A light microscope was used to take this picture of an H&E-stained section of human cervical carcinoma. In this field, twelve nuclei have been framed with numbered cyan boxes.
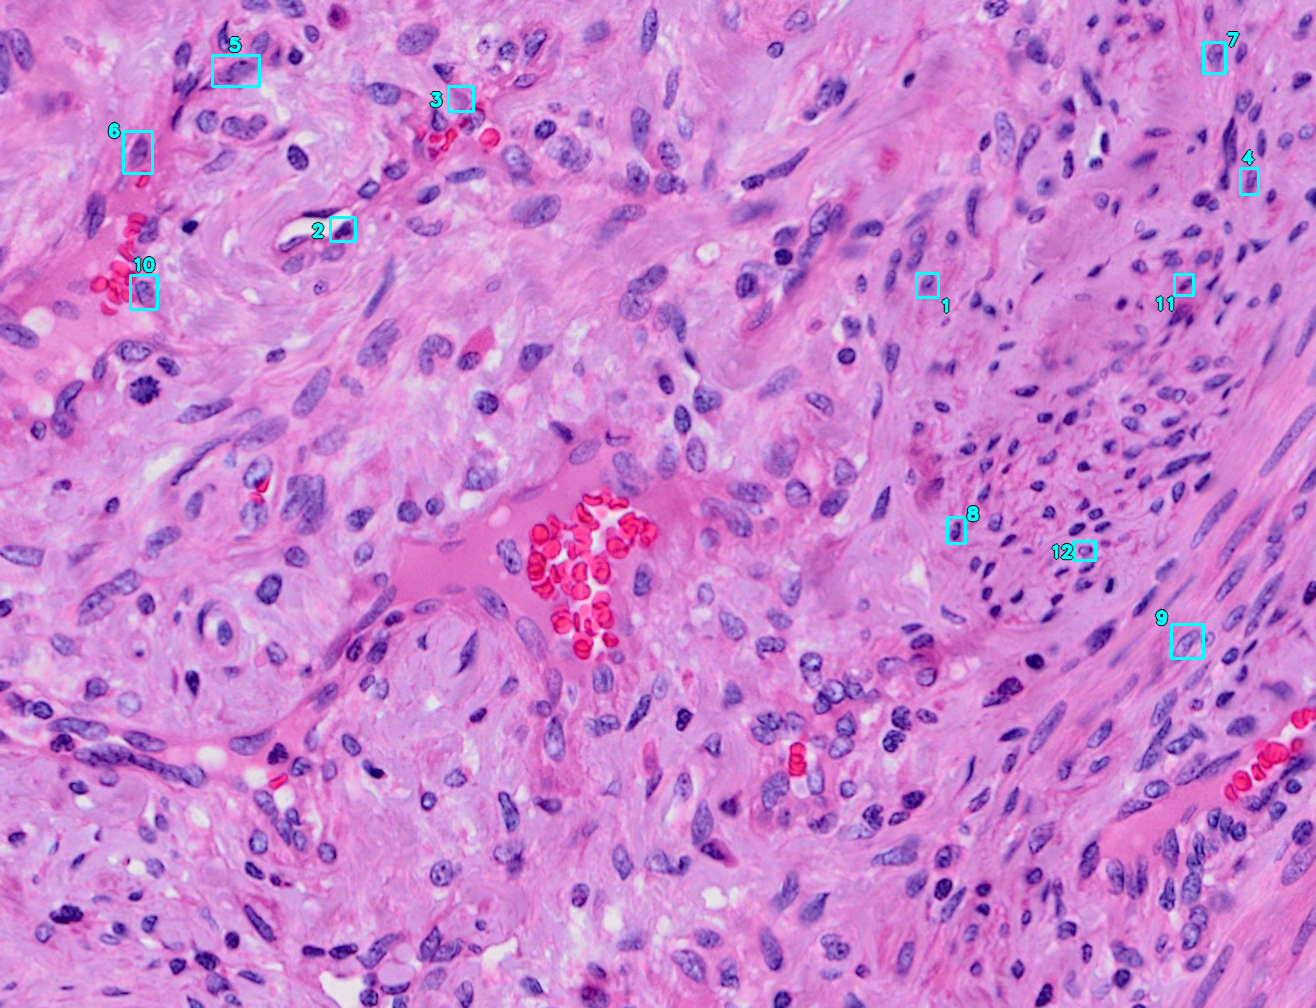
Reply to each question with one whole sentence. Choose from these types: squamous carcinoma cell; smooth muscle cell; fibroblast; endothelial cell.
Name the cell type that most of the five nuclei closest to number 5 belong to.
Around number 5, most of the five nearest nuclei are those of endothelial cells.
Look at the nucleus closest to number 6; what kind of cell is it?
Number 6 lies closest to the nucleus of an endothelial cell.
